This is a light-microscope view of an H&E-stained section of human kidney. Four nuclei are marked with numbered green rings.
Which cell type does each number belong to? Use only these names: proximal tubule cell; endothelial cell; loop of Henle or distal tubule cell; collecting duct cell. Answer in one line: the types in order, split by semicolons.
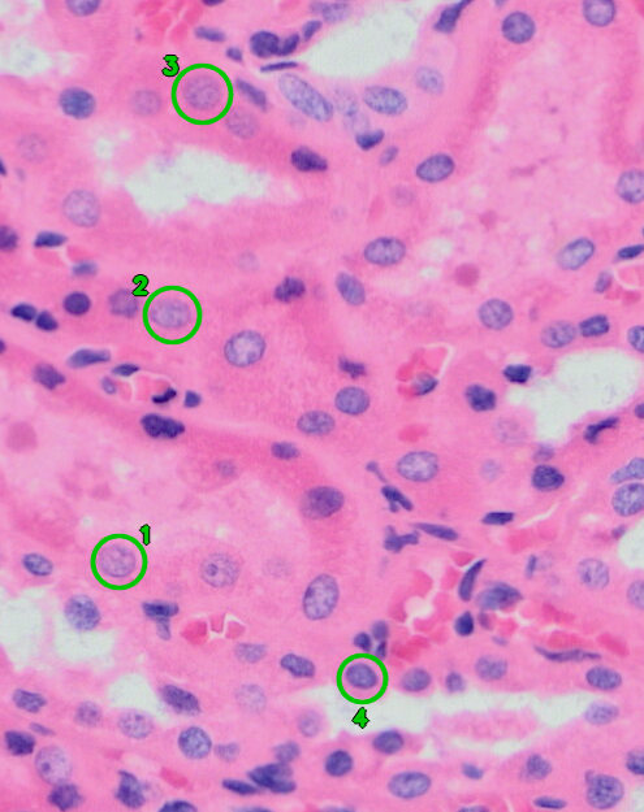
proximal tubule cell; proximal tubule cell; proximal tubule cell; loop of Henle or distal tubule cell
